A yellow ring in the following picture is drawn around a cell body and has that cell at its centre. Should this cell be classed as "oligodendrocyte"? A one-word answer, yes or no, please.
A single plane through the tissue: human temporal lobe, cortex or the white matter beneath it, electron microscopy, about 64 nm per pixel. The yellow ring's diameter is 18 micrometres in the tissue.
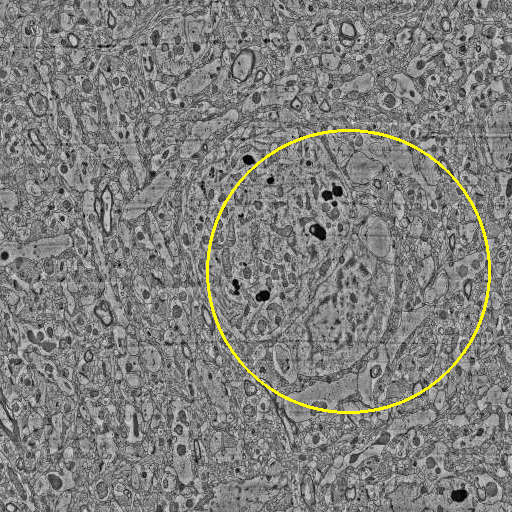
No, it is of another kind.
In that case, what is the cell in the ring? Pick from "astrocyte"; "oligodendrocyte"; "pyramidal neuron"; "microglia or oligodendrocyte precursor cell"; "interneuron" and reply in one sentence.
It is an interneuron at the centre of the ring.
